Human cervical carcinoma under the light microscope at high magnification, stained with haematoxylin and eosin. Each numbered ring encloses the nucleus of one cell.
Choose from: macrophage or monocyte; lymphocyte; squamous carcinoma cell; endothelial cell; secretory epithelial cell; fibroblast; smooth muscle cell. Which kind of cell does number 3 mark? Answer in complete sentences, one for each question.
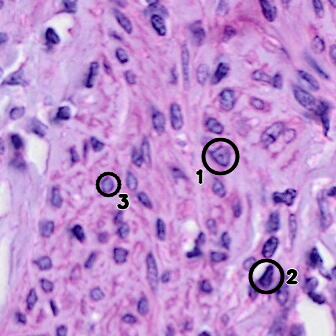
Among the marked cells, number 3 is a smooth muscle cell.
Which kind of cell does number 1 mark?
Cell 1, as marked in the section, is a smooth muscle cell.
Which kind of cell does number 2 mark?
Cell number 2 in this section is a lymphocyte.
